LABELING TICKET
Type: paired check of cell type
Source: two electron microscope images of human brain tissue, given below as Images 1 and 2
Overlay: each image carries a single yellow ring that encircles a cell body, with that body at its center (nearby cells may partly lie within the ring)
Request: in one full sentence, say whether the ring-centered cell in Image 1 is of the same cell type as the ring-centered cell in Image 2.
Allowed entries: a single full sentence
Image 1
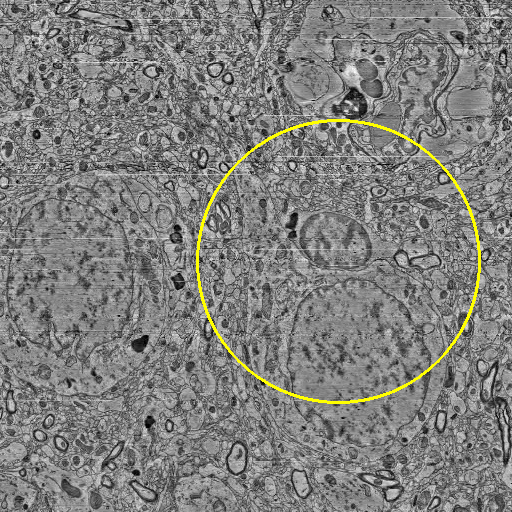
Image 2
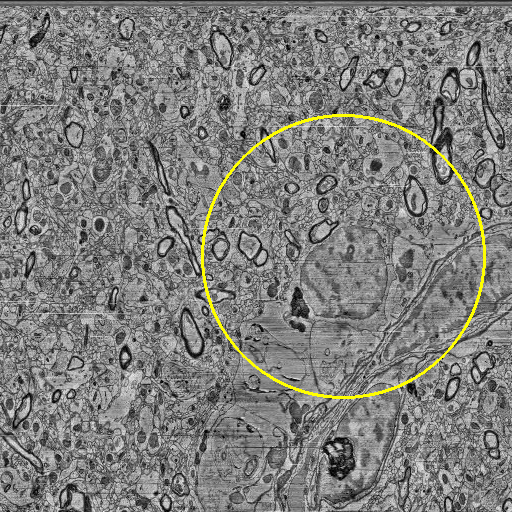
Yes, the cells centered in the rings of Image 1 and Image 2 share one type.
